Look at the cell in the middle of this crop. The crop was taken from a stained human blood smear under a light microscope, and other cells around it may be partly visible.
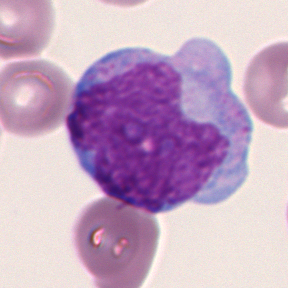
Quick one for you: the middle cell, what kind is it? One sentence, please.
At the middle of the frame sits an atypical promyelocyte.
